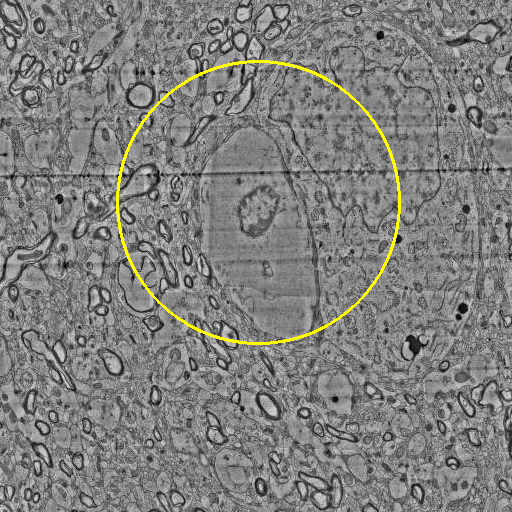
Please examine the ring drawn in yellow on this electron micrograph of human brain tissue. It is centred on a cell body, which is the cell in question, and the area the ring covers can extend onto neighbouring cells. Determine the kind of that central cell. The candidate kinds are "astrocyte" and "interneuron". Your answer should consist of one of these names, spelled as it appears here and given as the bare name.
astrocyte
